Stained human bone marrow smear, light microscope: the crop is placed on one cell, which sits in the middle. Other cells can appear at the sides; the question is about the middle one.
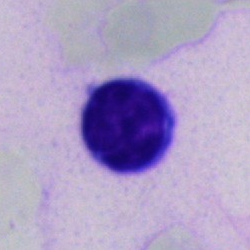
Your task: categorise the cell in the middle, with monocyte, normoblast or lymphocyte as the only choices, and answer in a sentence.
The cell at the heart of this crop is a lymphocyte.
